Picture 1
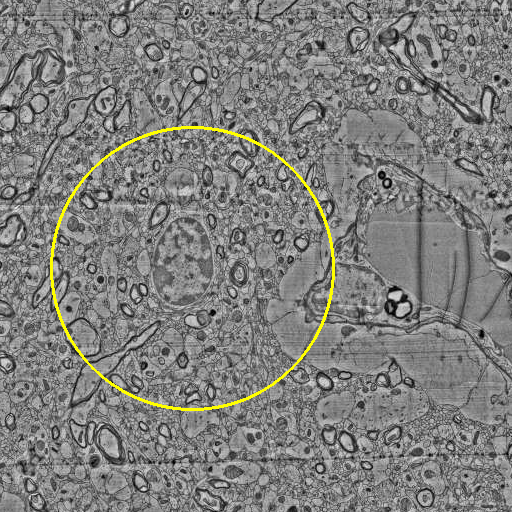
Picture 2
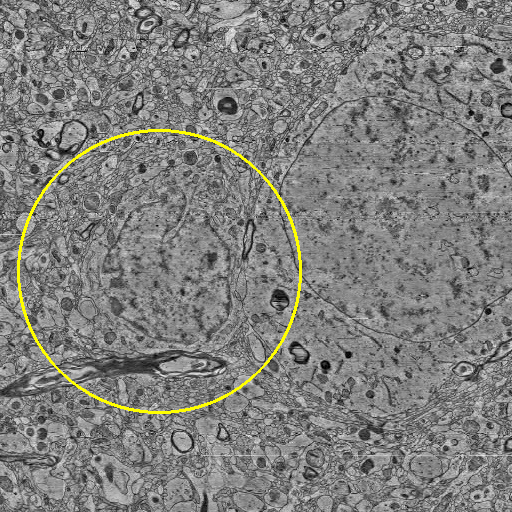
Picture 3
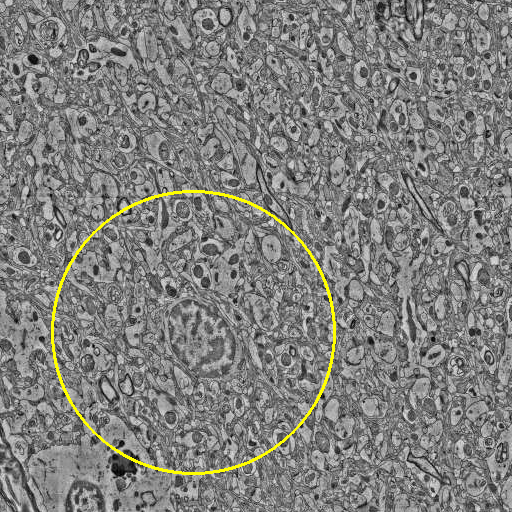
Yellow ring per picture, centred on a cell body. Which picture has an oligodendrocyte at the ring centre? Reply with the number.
3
